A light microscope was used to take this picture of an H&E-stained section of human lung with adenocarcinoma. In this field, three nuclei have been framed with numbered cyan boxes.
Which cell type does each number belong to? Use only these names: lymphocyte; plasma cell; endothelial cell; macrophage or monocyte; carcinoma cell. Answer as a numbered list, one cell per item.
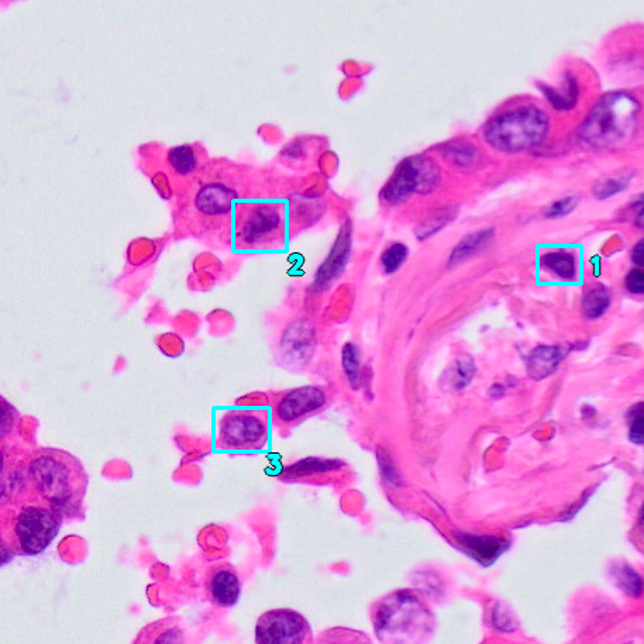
1. plasma cell
2. macrophage or monocyte
3. macrophage or monocyte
